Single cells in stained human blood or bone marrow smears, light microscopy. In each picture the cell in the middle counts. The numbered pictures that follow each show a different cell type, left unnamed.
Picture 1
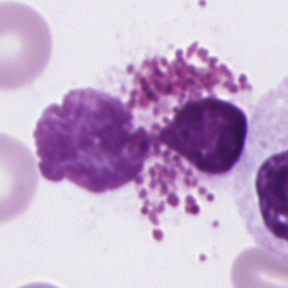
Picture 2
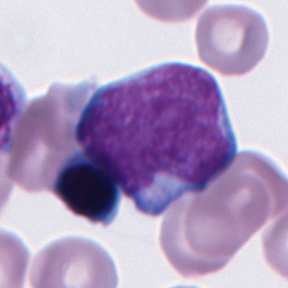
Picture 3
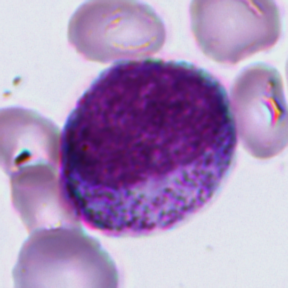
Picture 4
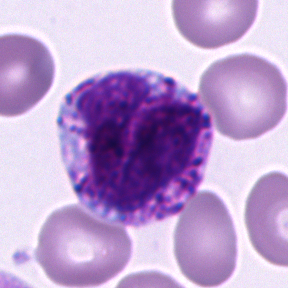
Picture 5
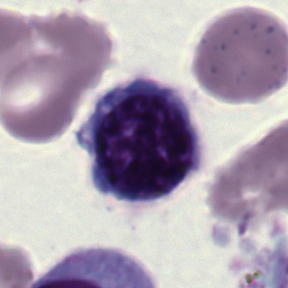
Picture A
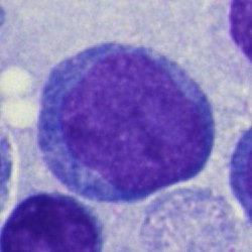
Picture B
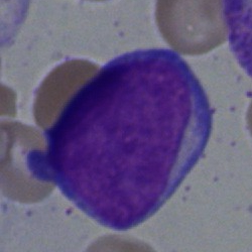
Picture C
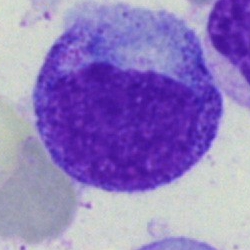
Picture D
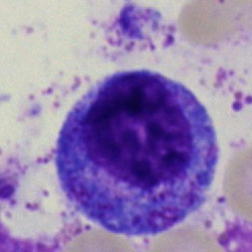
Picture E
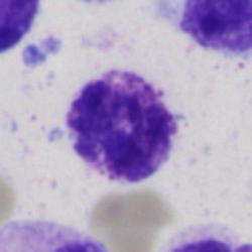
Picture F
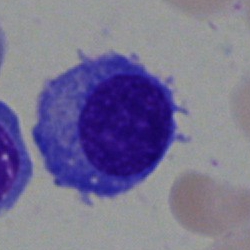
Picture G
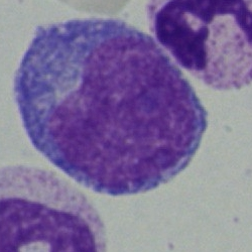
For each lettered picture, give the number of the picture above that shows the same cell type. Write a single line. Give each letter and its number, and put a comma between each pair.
A 2, B 2, C 3, D 3, E 4, F 5, G 2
